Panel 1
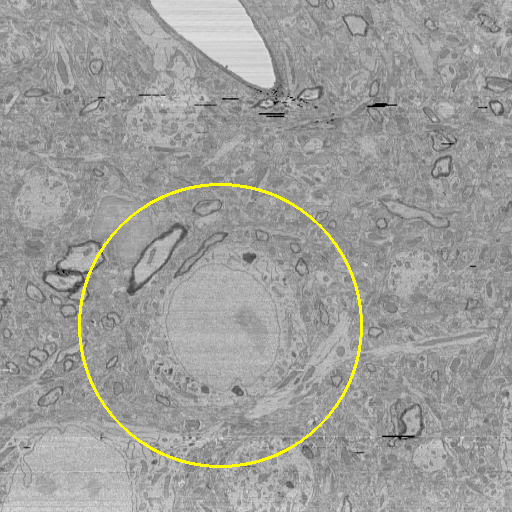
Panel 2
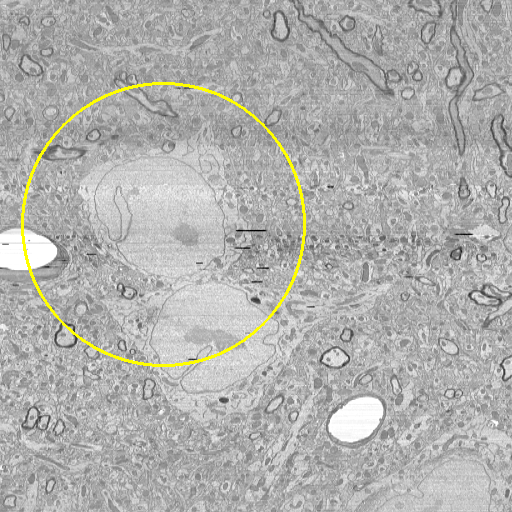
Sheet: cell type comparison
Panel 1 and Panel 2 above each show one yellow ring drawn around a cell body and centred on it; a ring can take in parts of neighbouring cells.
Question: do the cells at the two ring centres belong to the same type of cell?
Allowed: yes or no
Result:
yes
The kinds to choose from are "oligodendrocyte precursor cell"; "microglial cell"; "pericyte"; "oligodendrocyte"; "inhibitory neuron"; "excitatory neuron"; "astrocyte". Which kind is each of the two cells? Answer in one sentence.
Both the first and the second picture show an excitatory neuron in the ring.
